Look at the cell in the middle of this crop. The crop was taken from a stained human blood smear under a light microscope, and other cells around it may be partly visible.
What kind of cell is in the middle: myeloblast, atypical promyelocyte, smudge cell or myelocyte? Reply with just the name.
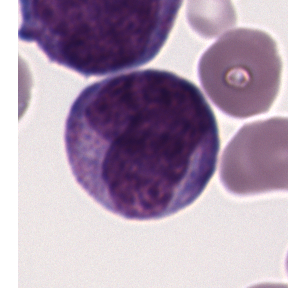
atypical promyelocyte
